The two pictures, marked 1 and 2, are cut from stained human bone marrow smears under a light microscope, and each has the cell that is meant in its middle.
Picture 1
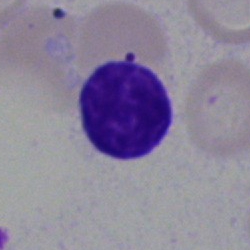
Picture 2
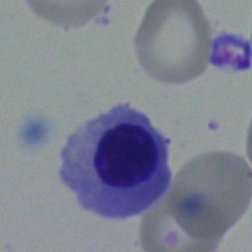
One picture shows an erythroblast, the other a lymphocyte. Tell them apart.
1: lymphocyte
2: erythroblast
